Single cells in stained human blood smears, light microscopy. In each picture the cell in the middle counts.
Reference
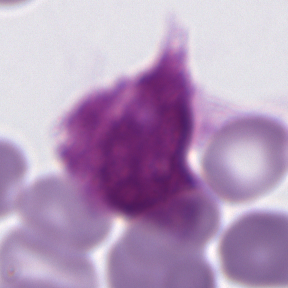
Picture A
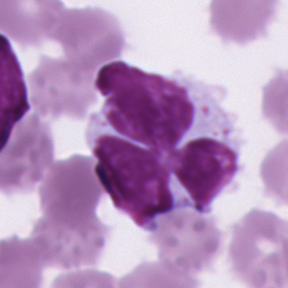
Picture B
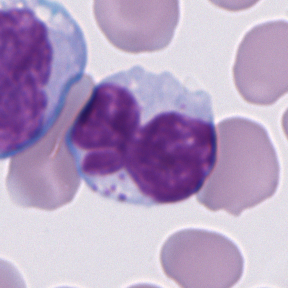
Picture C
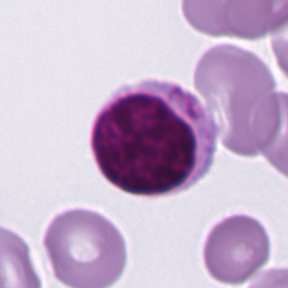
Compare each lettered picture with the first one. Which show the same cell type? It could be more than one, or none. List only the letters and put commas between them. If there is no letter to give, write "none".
none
